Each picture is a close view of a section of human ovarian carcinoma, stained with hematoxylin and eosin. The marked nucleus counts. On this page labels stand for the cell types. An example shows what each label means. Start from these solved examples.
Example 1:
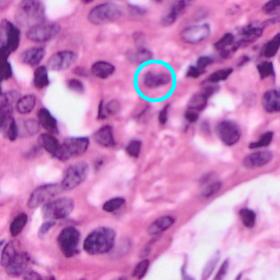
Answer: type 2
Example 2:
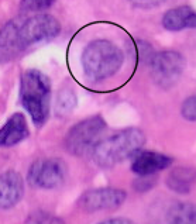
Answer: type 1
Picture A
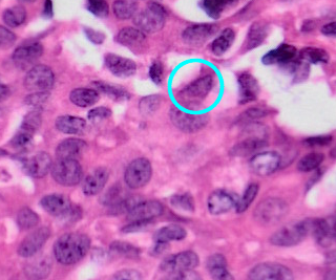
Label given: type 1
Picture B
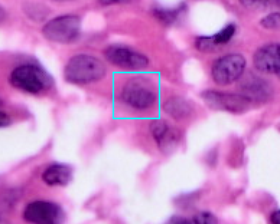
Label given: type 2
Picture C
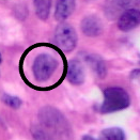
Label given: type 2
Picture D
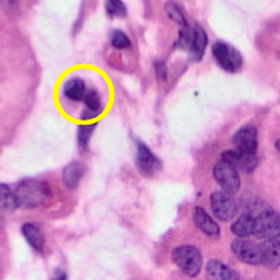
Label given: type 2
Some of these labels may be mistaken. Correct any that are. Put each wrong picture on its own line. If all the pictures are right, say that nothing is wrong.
B: change type 2 to type 1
